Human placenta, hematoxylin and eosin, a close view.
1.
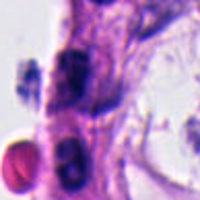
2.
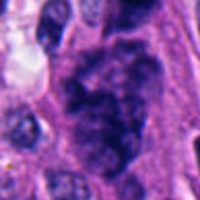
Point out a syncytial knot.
That is picture 2.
